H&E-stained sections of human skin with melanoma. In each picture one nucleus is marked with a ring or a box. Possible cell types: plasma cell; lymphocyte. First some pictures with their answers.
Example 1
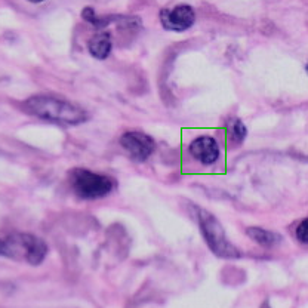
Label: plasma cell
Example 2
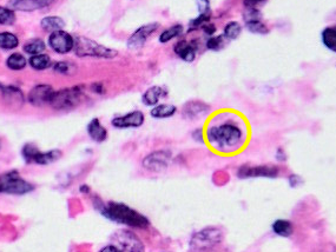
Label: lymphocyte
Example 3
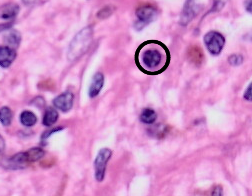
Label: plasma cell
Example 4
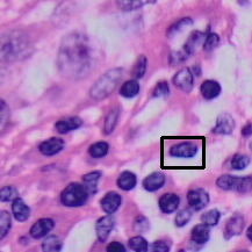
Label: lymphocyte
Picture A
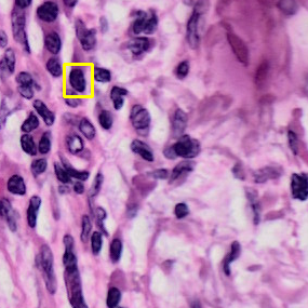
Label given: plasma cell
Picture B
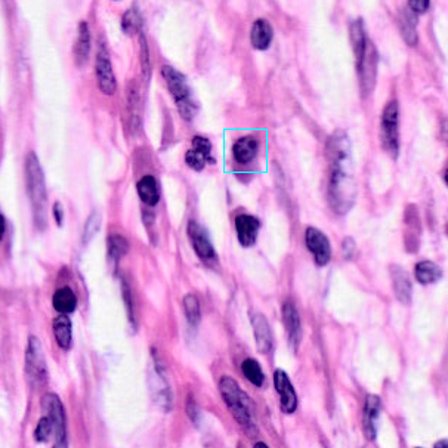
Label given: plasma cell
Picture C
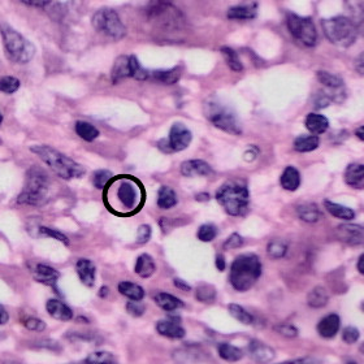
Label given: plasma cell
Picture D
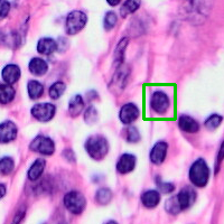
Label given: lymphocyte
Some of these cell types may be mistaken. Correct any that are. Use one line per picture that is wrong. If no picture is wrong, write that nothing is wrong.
C: change plasma cell to lymphocyte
